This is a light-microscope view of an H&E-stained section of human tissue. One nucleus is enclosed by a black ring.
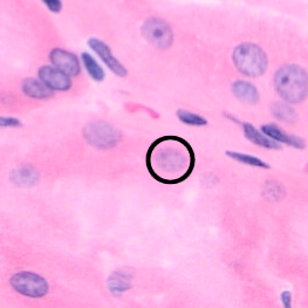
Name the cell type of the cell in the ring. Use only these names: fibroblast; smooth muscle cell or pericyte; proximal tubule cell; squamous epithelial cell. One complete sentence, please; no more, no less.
Among the cells in this section, the cell in the ring is a proximal tubule cell.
